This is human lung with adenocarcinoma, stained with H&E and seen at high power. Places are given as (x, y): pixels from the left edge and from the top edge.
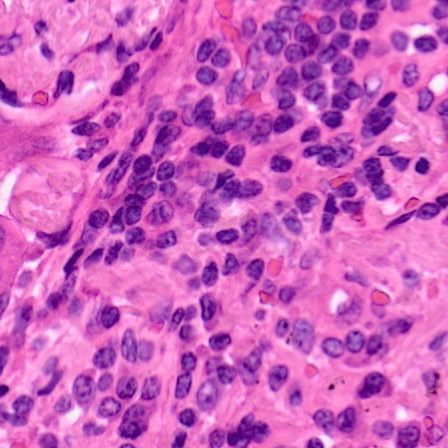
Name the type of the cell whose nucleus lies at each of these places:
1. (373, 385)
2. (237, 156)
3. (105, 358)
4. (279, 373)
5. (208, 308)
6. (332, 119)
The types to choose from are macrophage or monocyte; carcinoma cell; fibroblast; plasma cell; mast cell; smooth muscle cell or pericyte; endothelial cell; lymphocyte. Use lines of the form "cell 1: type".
cell 1: plasma cell
cell 2: lymphocyte
cell 3: lymphocyte
cell 4: lymphocyte
cell 5: plasma cell
cell 6: lymphocyte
